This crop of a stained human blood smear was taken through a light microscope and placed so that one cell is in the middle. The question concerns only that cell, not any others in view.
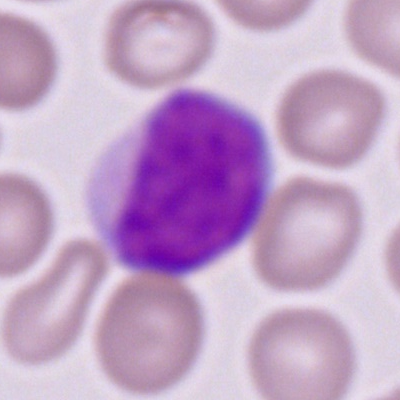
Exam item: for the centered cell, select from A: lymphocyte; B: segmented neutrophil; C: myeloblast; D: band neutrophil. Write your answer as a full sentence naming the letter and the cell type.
Option C is correct, naming the cell in the middle as a myeloblast.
